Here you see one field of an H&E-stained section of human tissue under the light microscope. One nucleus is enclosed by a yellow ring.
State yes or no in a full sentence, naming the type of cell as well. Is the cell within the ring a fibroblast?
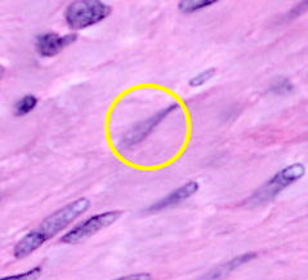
Yes, correct on this one: the cell within the ring is a fibroblast.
